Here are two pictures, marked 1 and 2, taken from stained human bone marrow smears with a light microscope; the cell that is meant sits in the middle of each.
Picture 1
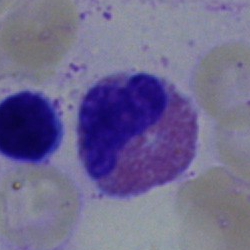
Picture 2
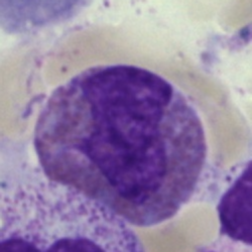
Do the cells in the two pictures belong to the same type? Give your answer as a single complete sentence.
Yes, both cells are eosinophils.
